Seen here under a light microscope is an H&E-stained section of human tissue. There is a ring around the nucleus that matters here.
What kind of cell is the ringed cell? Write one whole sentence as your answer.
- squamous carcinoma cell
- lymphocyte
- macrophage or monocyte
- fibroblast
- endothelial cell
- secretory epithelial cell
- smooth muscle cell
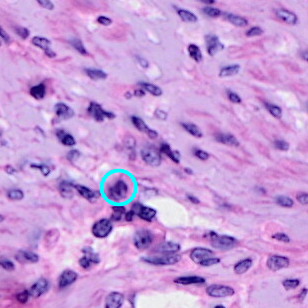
By cell type, the ringed cell is a lymphocyte.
